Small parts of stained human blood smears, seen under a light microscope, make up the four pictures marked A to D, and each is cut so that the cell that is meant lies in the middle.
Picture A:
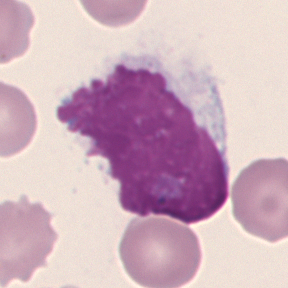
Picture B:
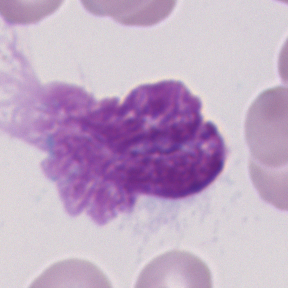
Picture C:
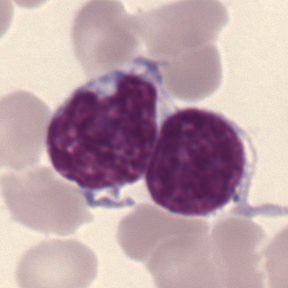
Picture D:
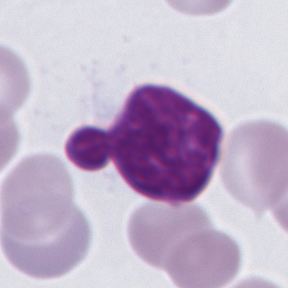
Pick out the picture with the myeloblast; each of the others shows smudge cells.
C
